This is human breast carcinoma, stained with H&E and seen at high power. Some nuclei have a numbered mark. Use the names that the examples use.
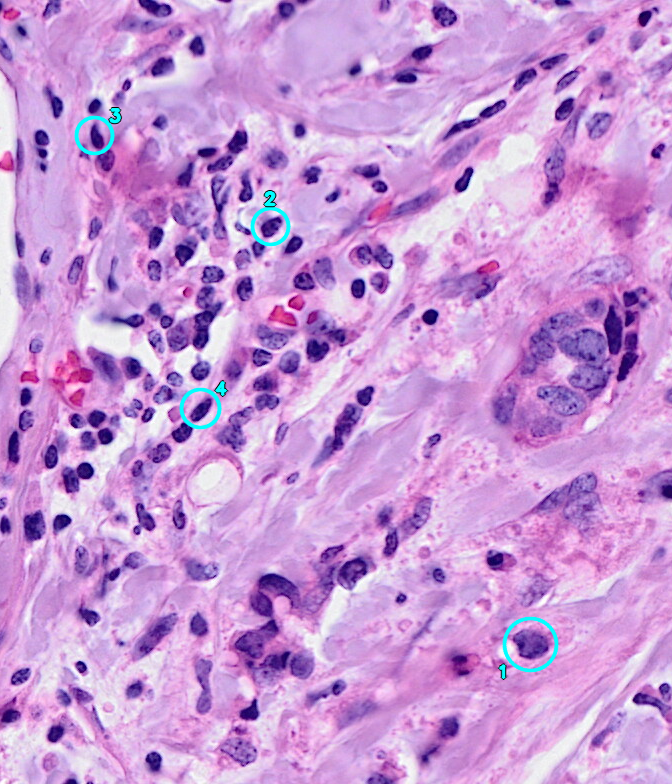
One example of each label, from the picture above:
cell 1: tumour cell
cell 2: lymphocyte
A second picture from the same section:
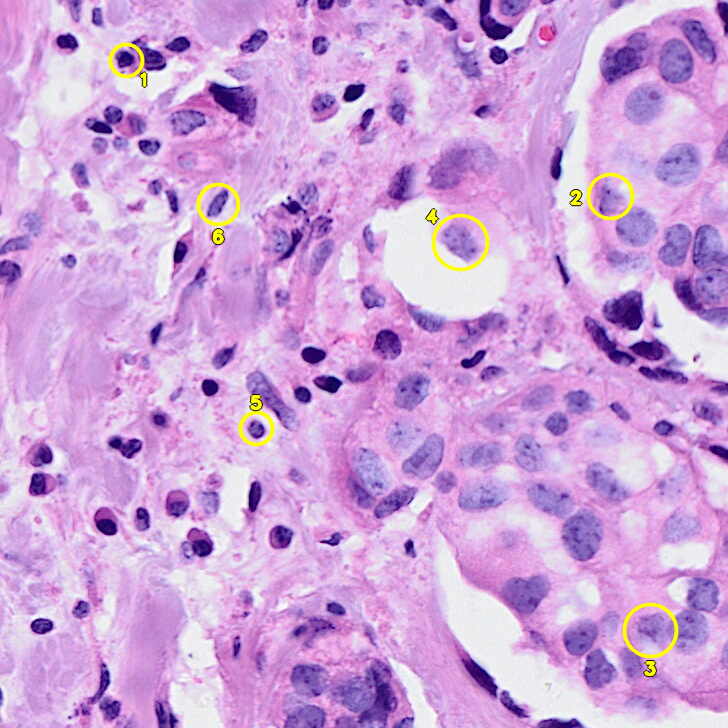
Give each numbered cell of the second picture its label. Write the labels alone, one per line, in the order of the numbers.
lymphocyte
tumour cell
tumour cell
tumour cell
lymphocyte
lymphocyte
